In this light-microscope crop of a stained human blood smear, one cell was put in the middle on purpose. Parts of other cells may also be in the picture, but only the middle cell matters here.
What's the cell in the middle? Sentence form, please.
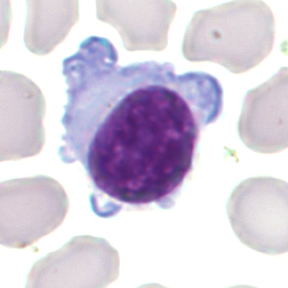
This crop's central cell is a plasma cell.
